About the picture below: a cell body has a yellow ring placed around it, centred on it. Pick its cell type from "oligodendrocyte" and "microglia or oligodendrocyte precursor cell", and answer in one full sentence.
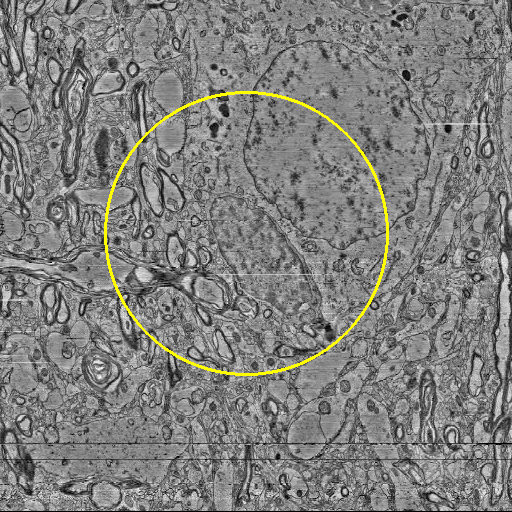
In the picture, an oligodendrocyte is the cell sitting at the centre of the yellow ring.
